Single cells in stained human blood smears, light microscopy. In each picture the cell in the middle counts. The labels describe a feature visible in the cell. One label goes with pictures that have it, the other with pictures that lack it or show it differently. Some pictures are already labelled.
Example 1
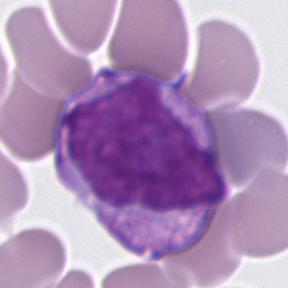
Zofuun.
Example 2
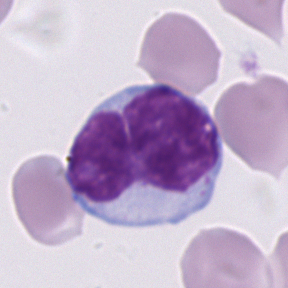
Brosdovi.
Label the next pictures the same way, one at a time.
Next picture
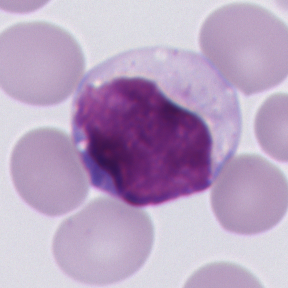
Brosdovi.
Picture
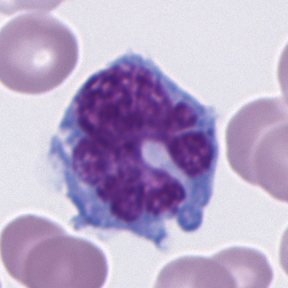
Zofuun.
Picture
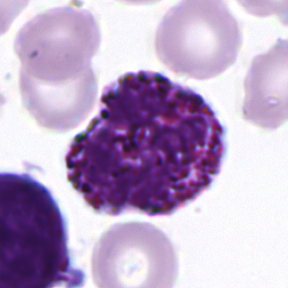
Brosdovi.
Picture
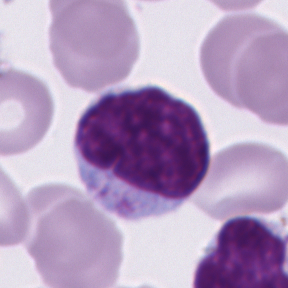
Brosdovi.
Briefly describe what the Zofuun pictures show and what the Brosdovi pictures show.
In Zofuun: ragged outline or projections. In Brosdovi: smooth outline.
